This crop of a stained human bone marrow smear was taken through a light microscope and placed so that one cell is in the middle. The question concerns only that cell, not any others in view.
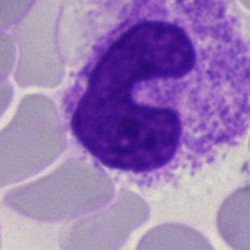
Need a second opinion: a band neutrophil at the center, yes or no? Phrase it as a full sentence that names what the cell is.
Yes, the cell occupying the middle of the crop is a band neutrophil.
